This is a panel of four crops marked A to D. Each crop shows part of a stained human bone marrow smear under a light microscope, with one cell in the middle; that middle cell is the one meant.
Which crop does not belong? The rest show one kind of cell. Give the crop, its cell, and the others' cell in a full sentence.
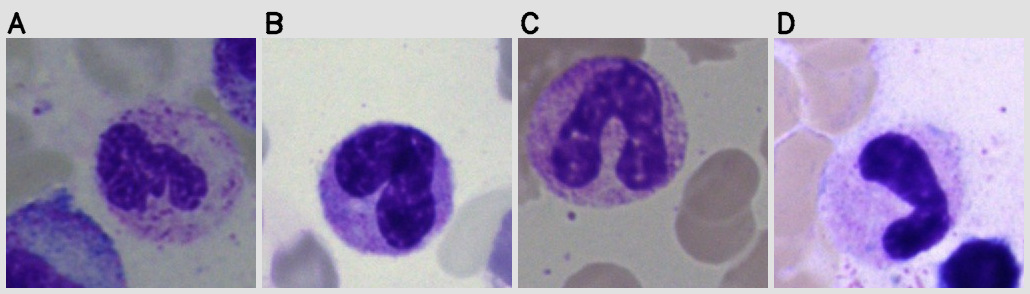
Only in crop A is there a segmented neutrophil; all other crops show band neutrophils.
